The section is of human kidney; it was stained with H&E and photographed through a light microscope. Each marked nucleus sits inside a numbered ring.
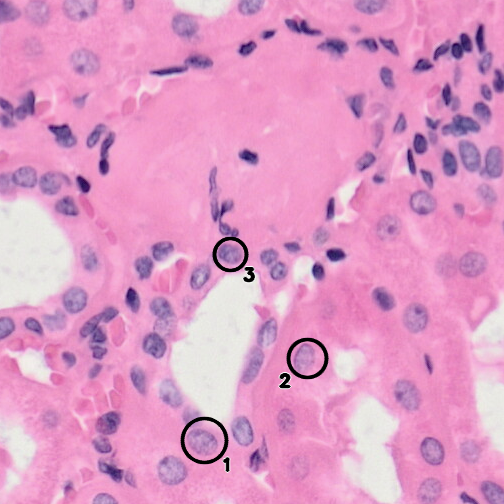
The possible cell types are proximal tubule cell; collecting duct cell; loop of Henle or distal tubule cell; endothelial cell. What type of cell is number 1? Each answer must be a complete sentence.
The cell marked with the number 1 is a collecting duct cell.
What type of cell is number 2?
The one numbered 2 among the marked cells is a proximal tubule cell.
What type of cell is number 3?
The cell marked with the number 3 is a collecting duct cell.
